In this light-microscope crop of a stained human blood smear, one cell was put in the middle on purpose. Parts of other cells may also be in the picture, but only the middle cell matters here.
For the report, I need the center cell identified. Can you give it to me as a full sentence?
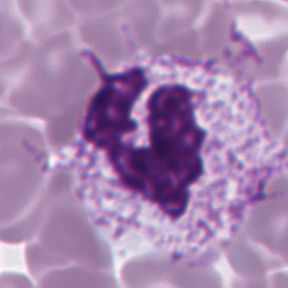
Framed in the middle of the crop is a segmented neutrophil.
